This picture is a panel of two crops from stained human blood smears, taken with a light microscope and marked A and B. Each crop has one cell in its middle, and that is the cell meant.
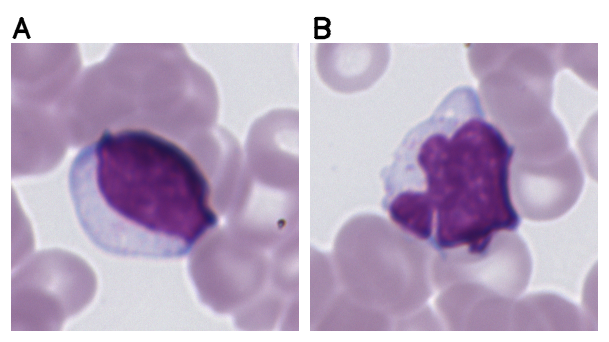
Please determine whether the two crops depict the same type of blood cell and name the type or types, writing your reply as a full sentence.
Yes, both crops show large granular lymphocytes as their central cells.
